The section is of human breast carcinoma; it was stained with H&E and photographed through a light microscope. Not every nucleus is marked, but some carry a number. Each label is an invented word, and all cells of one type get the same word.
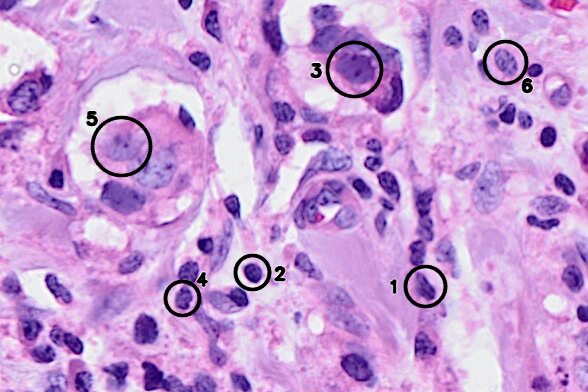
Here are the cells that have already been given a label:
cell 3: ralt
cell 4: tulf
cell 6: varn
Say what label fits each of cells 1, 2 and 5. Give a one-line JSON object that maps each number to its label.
{"1": "tulf", "2": "tulf", "5": "ralt"}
